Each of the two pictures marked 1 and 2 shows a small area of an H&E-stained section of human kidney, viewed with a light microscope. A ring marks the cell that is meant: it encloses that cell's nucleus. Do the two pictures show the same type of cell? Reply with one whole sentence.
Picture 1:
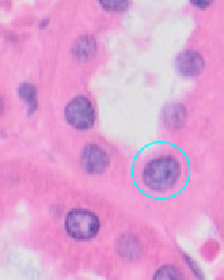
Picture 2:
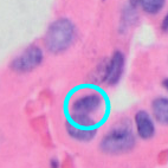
No, the types are not the same, since picture 1 shows a “loop of Henle or distal tubule cell” and picture 2 a collecting duct cell.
